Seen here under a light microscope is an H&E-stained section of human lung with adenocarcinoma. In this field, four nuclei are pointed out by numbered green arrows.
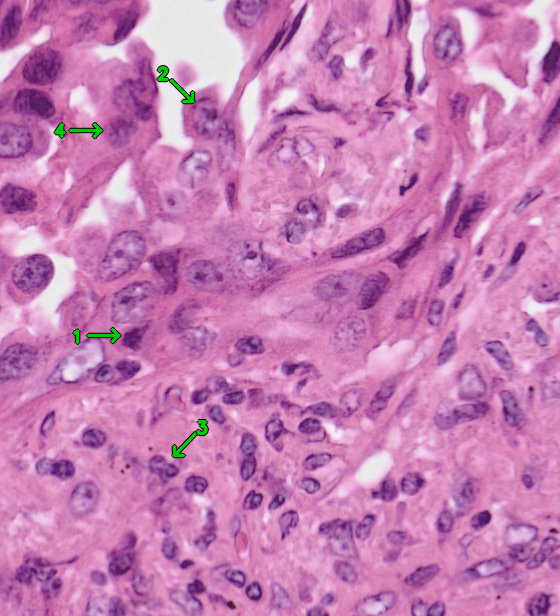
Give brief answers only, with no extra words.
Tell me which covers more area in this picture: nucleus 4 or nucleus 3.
4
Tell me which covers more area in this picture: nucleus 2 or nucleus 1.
2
